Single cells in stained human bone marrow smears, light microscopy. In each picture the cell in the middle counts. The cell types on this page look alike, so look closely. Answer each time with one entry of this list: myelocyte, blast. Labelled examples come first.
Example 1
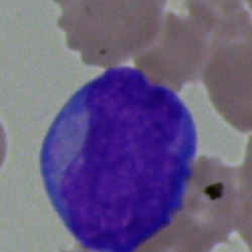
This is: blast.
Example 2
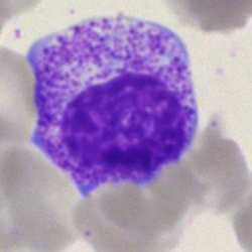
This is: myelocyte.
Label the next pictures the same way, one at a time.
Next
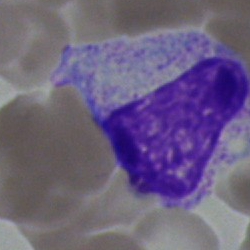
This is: myelocyte.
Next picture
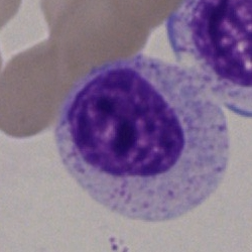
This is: myelocyte.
